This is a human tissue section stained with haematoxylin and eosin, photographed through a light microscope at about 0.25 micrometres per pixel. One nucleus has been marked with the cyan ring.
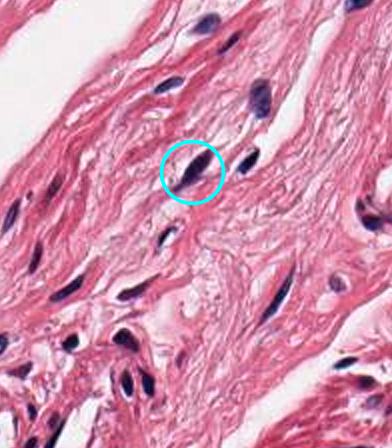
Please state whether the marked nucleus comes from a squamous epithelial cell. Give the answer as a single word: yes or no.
no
